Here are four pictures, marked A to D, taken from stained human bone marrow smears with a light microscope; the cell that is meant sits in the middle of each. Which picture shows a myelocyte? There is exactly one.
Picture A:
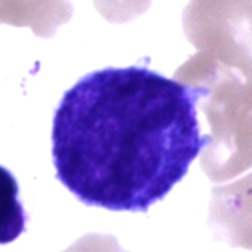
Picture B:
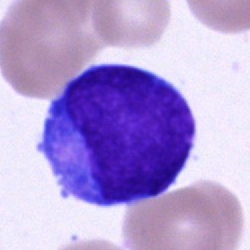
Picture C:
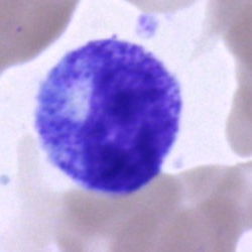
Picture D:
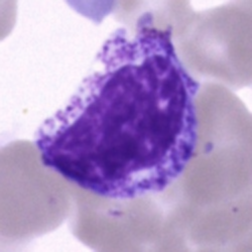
D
